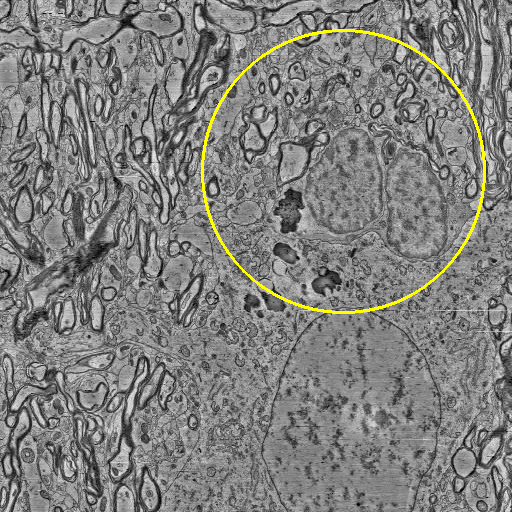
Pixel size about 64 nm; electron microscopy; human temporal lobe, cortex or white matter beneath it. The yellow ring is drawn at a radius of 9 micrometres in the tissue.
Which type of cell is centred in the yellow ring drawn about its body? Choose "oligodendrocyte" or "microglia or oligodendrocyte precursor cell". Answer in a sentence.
The yellow ring surrounds the cell body of an oligodendrocyte.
